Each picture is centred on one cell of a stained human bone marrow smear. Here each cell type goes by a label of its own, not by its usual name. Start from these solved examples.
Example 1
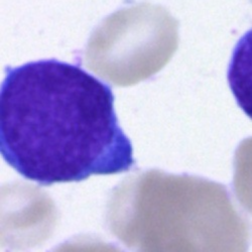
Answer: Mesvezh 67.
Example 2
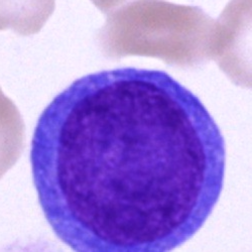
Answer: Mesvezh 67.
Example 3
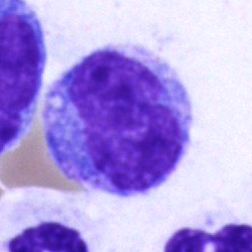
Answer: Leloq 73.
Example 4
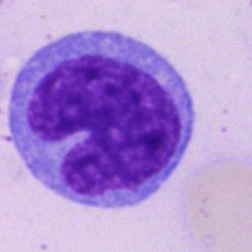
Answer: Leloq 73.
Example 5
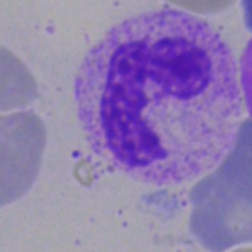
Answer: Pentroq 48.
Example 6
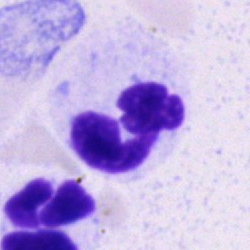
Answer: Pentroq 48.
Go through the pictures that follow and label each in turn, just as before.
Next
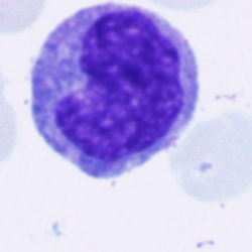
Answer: Leloq 73.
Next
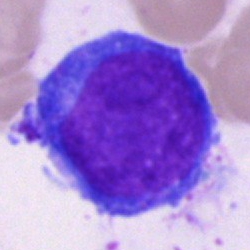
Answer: Mesvezh 67.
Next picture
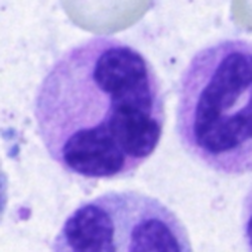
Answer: Pentroq 48.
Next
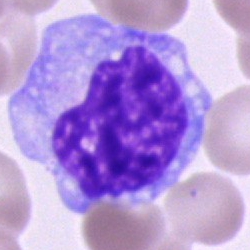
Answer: Leloq 73.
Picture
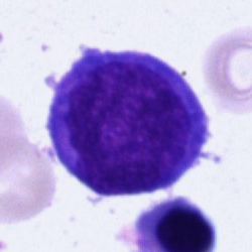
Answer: Mesvezh 67.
